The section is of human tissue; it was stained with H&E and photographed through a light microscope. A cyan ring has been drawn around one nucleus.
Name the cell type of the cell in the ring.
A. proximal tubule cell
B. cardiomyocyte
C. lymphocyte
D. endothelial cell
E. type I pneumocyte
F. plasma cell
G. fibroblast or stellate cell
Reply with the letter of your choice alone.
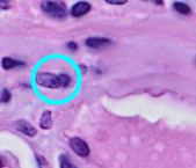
C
